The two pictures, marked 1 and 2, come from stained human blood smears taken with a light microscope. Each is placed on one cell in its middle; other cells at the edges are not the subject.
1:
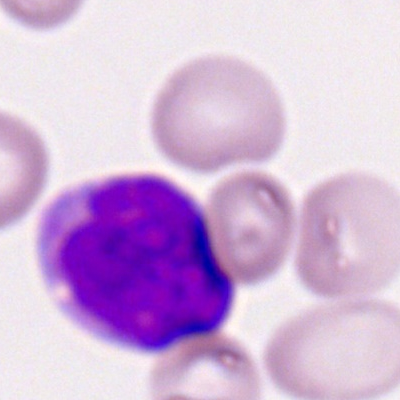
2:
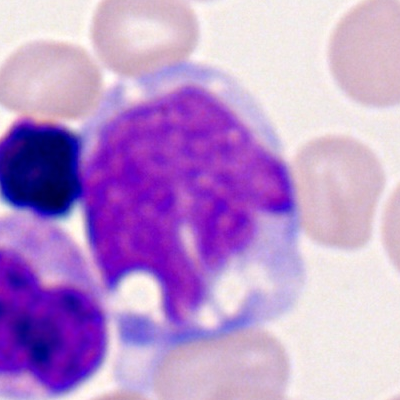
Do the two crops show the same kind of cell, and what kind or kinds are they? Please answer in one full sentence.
No, a monocyte is the cell in crop 2, and crop 1 contains a myeloblast.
